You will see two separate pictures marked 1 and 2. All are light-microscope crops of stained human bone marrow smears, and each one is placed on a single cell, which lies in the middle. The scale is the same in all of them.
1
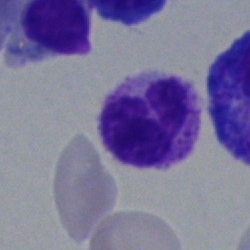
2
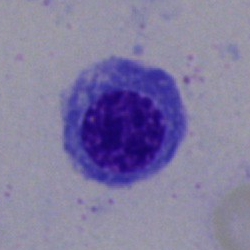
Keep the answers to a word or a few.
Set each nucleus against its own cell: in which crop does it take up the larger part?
1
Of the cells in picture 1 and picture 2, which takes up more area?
2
